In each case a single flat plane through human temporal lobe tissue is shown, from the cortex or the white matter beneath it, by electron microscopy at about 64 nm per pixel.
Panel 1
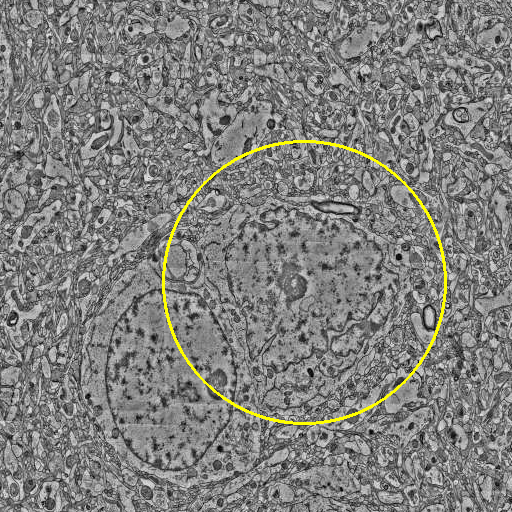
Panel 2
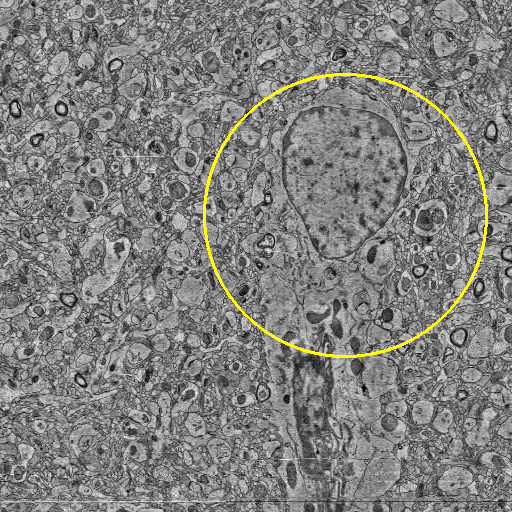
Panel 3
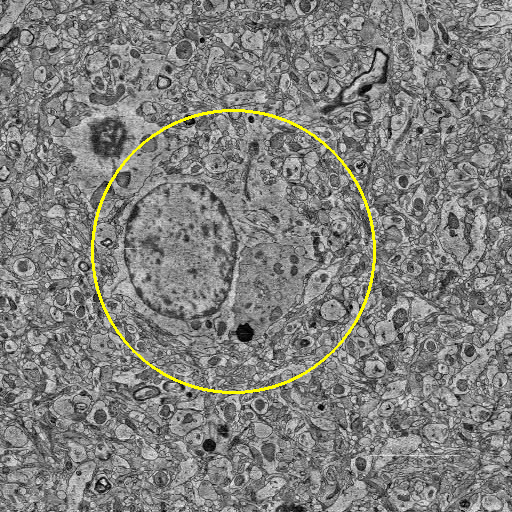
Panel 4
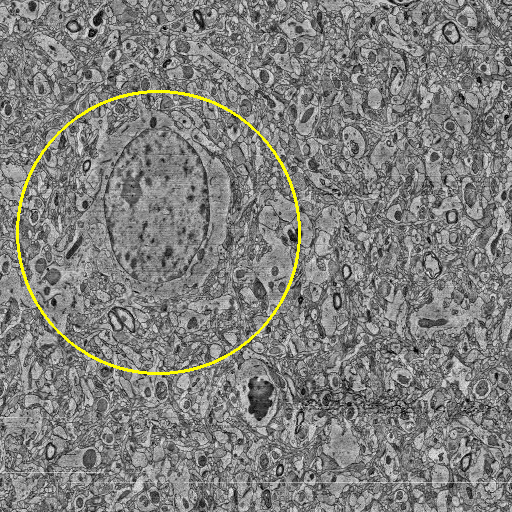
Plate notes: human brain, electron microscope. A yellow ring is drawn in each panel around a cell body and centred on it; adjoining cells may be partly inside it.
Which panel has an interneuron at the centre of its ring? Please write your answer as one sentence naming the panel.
The ring in Panel 1 is centred on such a cell.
